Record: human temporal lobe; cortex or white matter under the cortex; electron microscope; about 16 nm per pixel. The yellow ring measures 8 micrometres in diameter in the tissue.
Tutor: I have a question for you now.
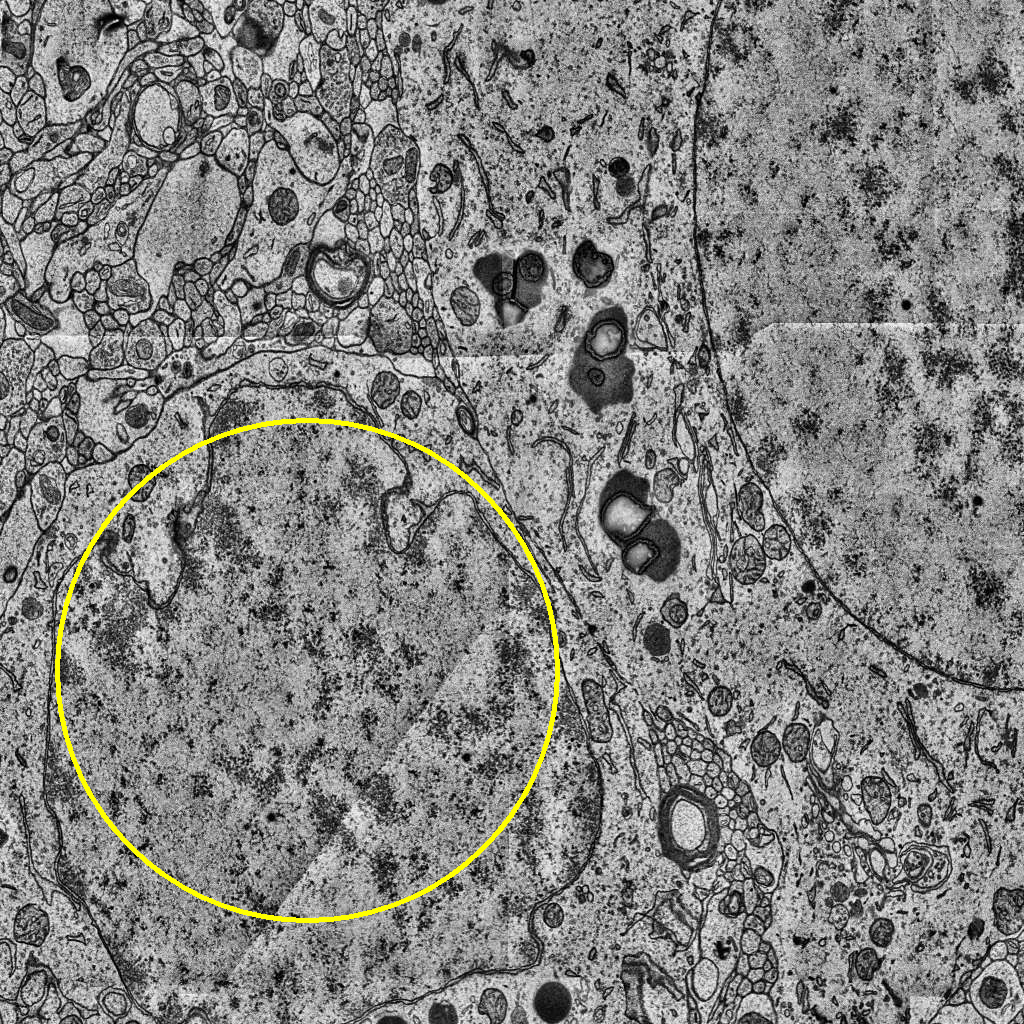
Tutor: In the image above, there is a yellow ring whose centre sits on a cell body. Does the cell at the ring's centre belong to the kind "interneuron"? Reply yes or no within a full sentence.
Yes, the cell at the centre of the yellow ring in the picture is of that kind.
